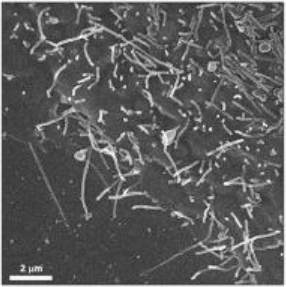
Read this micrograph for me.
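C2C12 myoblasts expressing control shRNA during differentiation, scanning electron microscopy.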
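The projections are thin, rod-like and bright against the grey, gently wrinkled cell surface. They vary widely in length, from short stubs to long strands spanning several micrometres. Many lie flat and cross one another in different directions, and they are densest in one region of the field.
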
